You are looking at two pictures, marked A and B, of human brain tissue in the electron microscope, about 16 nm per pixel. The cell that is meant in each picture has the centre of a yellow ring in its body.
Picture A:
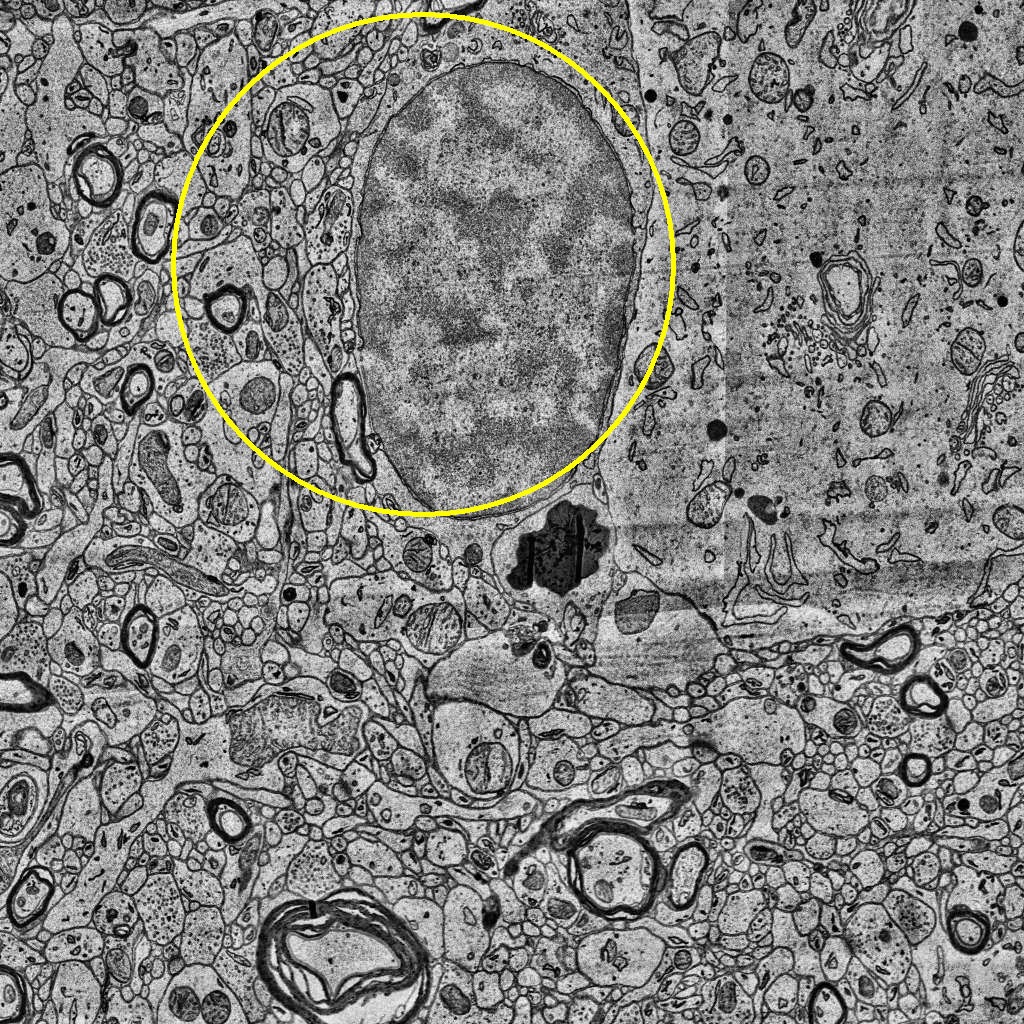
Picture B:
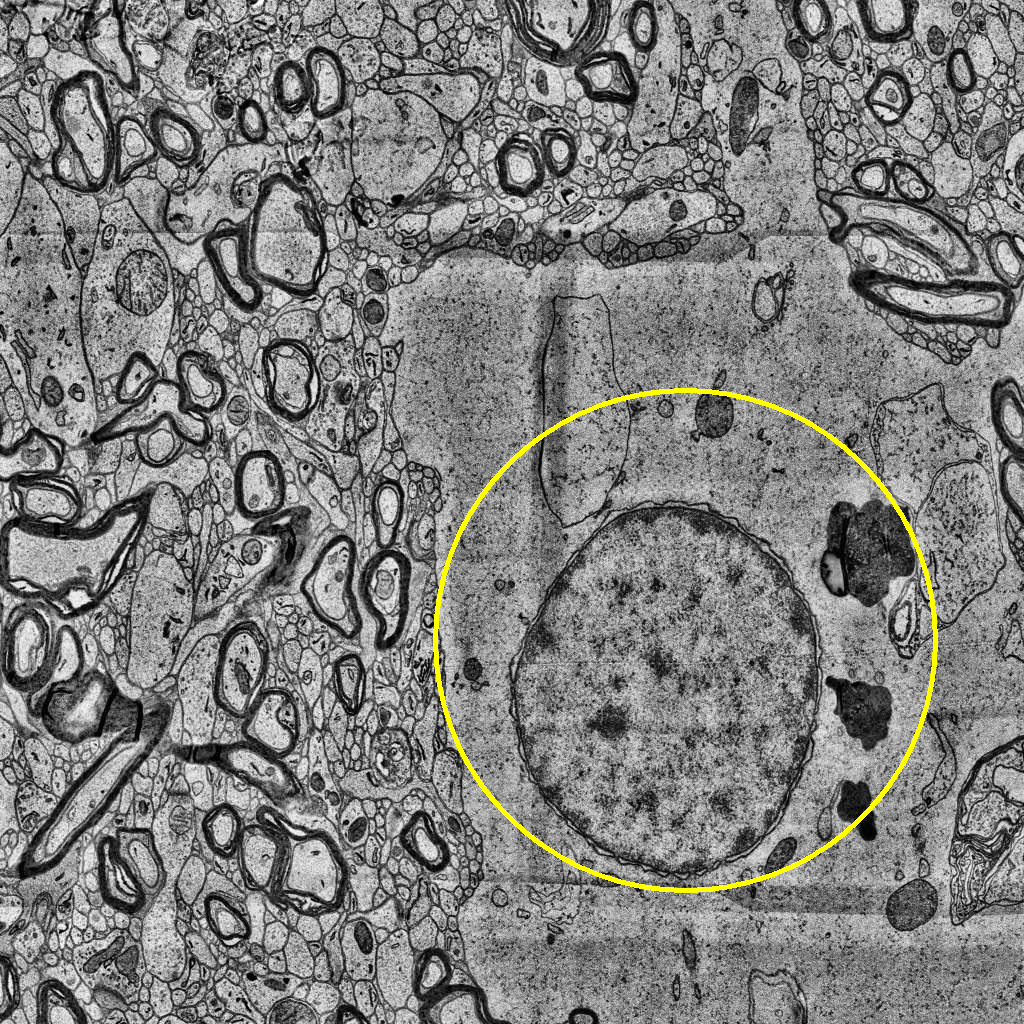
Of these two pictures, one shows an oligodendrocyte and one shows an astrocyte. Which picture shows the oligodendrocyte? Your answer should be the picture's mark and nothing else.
A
